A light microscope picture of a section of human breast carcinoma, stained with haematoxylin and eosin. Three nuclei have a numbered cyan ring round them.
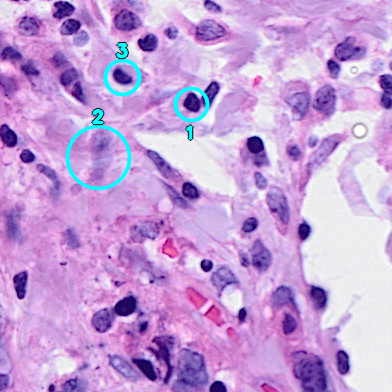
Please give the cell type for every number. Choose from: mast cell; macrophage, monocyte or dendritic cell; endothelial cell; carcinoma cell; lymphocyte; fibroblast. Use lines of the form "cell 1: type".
cell 1: lymphocyte
cell 2: fibroblast
cell 3: lymphocyte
